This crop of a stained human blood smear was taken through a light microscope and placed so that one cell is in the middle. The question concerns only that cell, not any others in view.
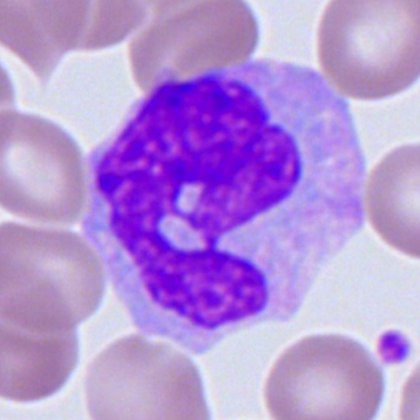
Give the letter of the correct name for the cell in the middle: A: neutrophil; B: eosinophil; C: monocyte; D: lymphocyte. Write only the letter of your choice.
C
